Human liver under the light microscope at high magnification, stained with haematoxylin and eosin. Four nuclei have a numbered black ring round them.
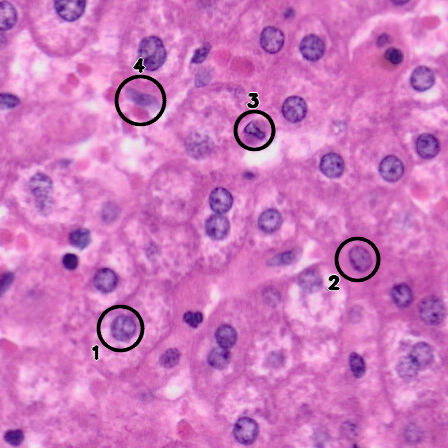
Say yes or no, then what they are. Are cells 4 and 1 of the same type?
No, cell 4 is a Kupffer cell and cell 1 is a hepatocyte.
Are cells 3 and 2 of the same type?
No, cell 3 is a Kupffer cell and cell 2 is a hepatocyte.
